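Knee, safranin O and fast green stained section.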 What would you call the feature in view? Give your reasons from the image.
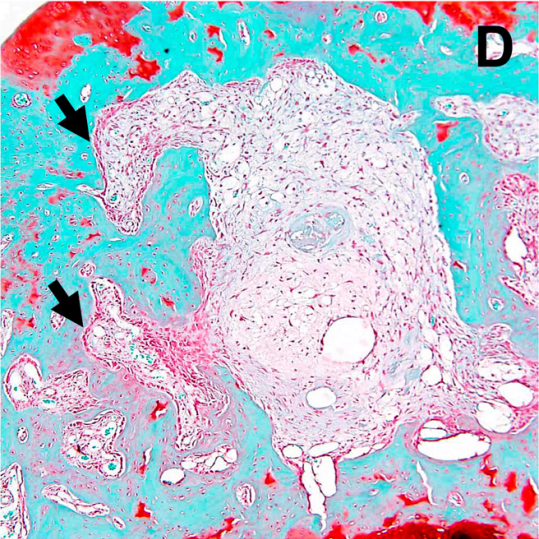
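A large rounded space in the centre is enclosed by green-stained bone. The space is filled with pale, loosely arranged tissue rather than bone or marrow. On this evidence: subchondral bone cyst.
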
